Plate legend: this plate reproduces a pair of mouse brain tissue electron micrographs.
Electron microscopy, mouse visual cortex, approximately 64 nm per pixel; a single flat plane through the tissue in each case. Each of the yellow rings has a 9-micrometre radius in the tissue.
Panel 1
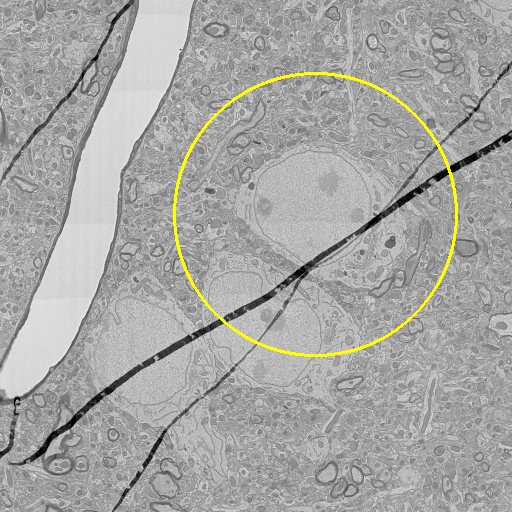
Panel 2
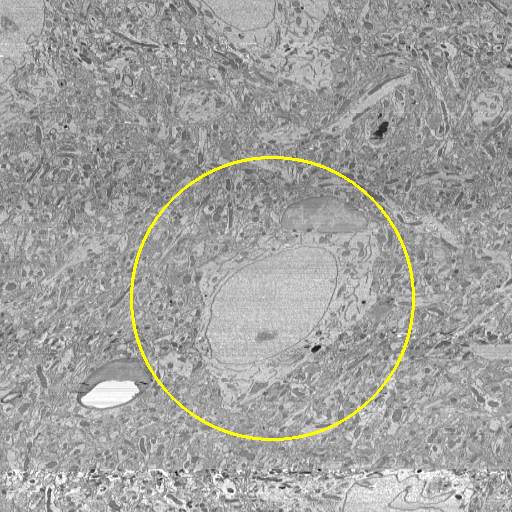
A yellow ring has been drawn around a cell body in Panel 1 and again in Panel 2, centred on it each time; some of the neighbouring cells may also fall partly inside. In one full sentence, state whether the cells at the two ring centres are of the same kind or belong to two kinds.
The ring-centred cells of Panel 1 and Panel 2 are of the same kind.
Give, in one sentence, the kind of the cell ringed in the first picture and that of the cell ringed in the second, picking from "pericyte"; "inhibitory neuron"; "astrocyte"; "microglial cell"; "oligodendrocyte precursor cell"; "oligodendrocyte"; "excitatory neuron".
The second cell is an excitatory neuron, just as the first is.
